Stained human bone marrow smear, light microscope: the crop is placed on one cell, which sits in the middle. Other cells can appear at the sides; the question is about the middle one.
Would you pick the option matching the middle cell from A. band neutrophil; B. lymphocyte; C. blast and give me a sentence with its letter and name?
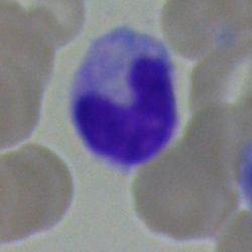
The correct response is option A, naming the cell in the middle as a band neutrophil.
